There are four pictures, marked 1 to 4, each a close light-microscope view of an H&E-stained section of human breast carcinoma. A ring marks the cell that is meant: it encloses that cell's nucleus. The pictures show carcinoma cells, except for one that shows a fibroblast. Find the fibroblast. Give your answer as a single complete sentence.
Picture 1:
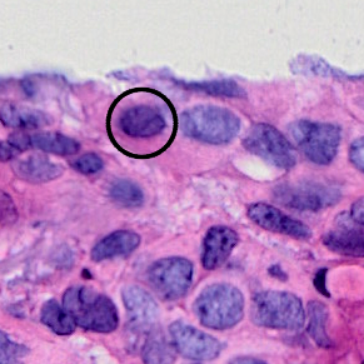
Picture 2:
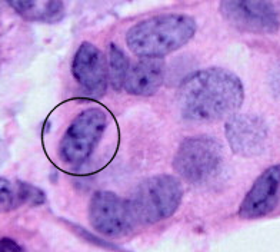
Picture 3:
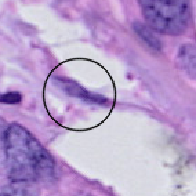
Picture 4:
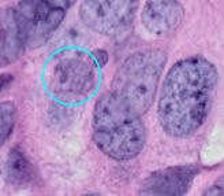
Picture 3 shows the fibroblast.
